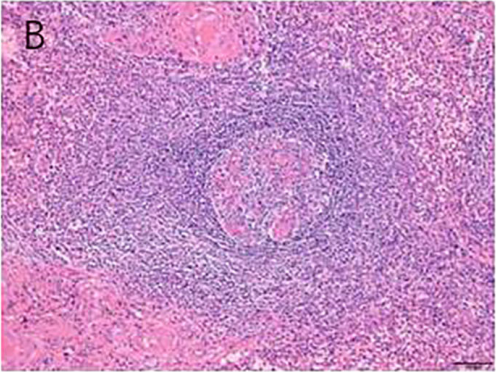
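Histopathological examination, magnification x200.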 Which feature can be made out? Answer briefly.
Onion skin-like.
